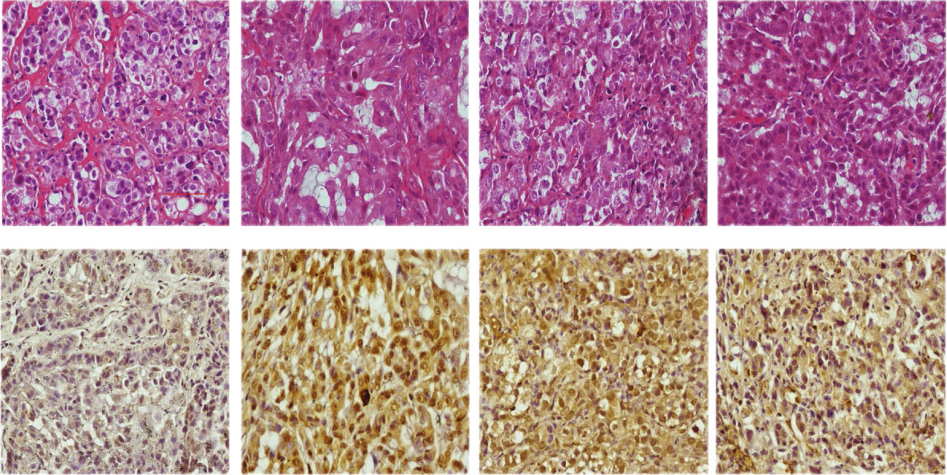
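These are sections of a solid tumor made of densely packed, large, rounded to polygonal tumor cells. In the upper row the cells have large round nuclei with visible nucleoli and pale to pink cytoplasm. In some fields the cells are grouped into nests separated by thin bright pink strands of stroma, and in other fields there are clear spaces between the cells.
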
